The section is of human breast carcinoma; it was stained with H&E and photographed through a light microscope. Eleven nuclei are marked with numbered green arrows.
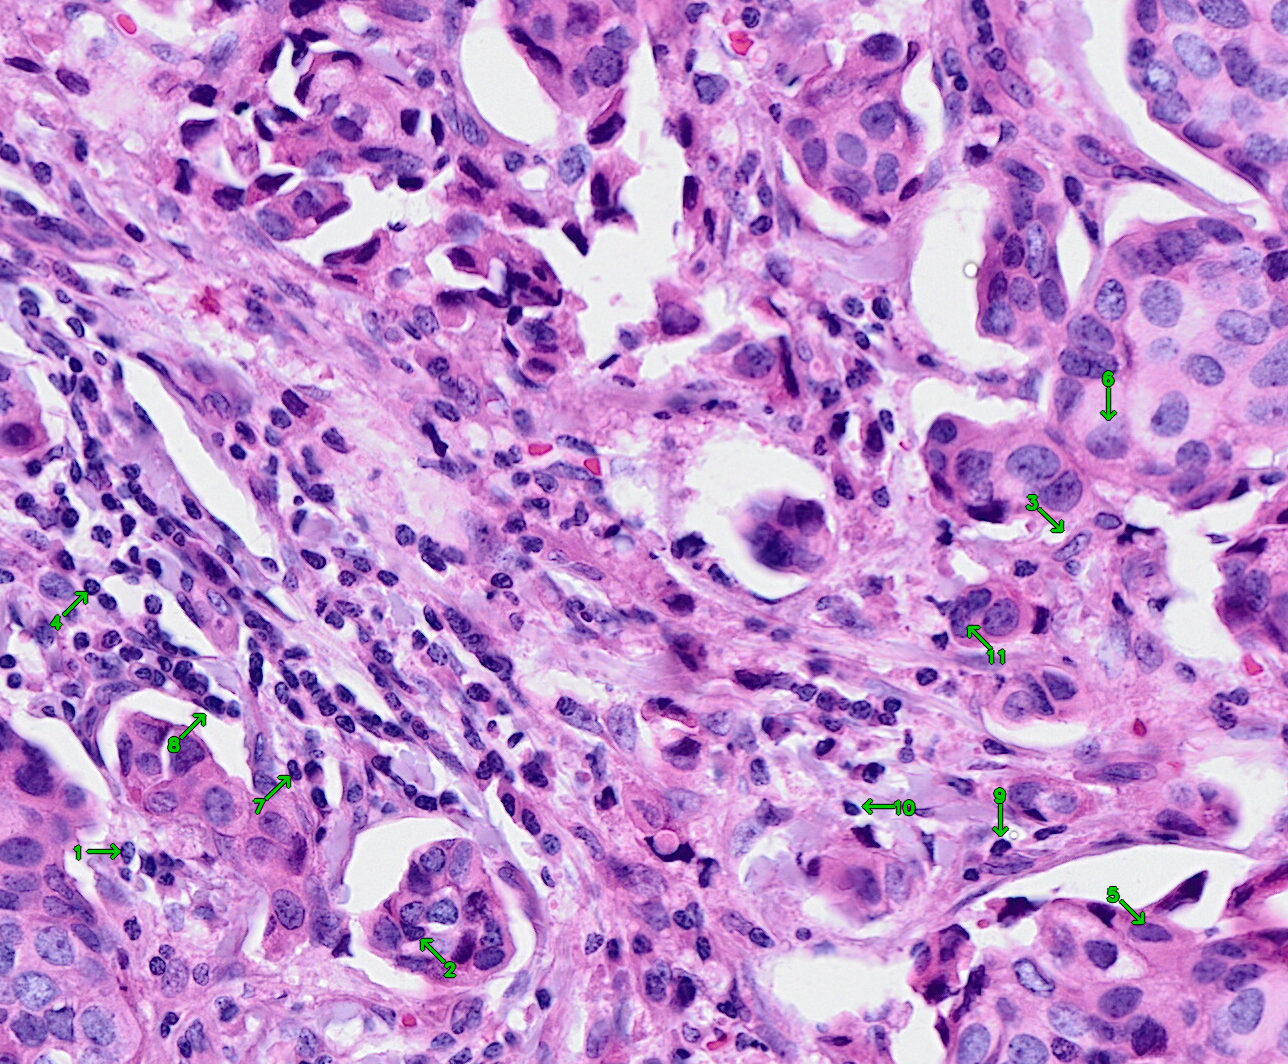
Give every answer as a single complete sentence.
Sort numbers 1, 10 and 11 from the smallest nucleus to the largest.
Smallest first, the nuclei run 10, 1, 11.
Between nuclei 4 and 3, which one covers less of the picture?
It is nucleus 4; nucleus 3 has about 2.5 times its area.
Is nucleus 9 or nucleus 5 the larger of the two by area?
Nucleus 5 is the larger one, covering about 2 times the area of nucleus 9.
